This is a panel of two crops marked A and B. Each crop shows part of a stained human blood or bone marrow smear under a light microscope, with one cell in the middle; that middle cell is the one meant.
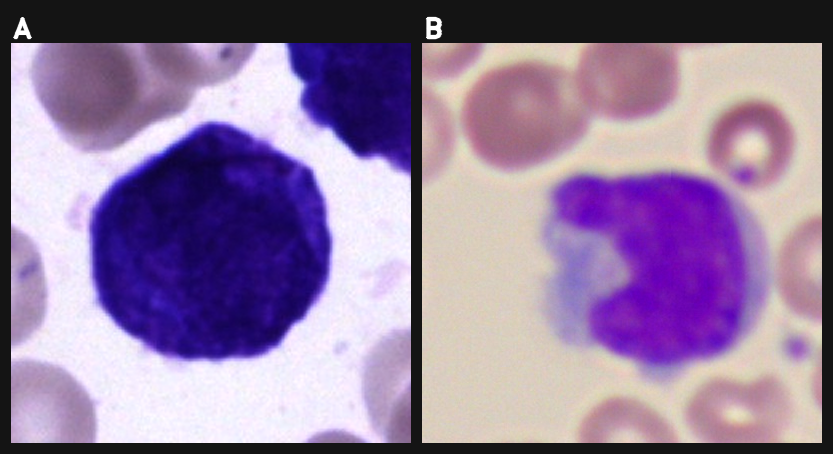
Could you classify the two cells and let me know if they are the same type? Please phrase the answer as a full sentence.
No, a blast is depicted by crop A, a monocyte by crop B.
